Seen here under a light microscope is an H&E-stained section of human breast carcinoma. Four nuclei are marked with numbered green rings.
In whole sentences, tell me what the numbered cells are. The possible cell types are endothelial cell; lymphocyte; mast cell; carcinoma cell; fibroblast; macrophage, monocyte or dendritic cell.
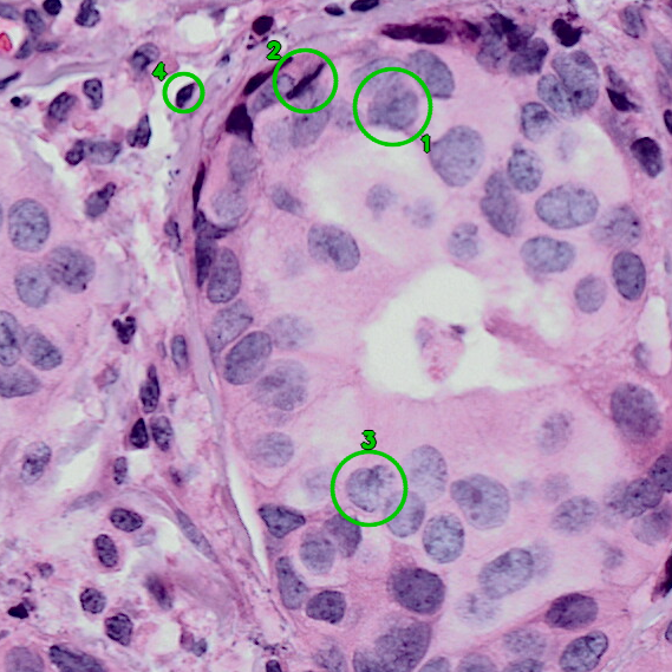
Cell 1 is a carcinoma cell, cell 2 is a carcinoma cell, cell 3 is a carcinoma cell and cell 4 is a lymphocyte.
